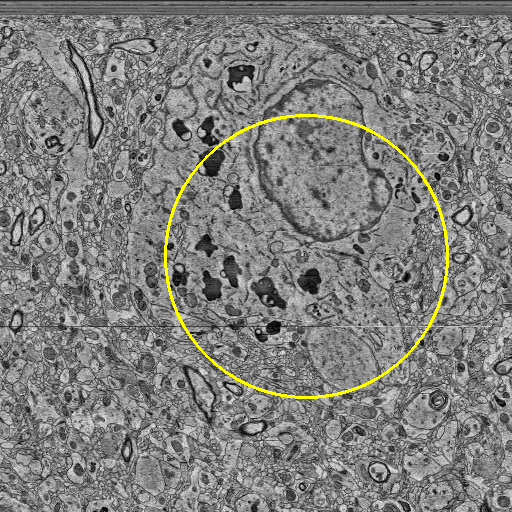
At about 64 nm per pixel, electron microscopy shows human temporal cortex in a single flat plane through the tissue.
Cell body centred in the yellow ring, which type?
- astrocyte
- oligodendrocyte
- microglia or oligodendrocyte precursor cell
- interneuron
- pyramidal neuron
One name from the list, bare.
microglia or oligodendrocyte precursor cell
